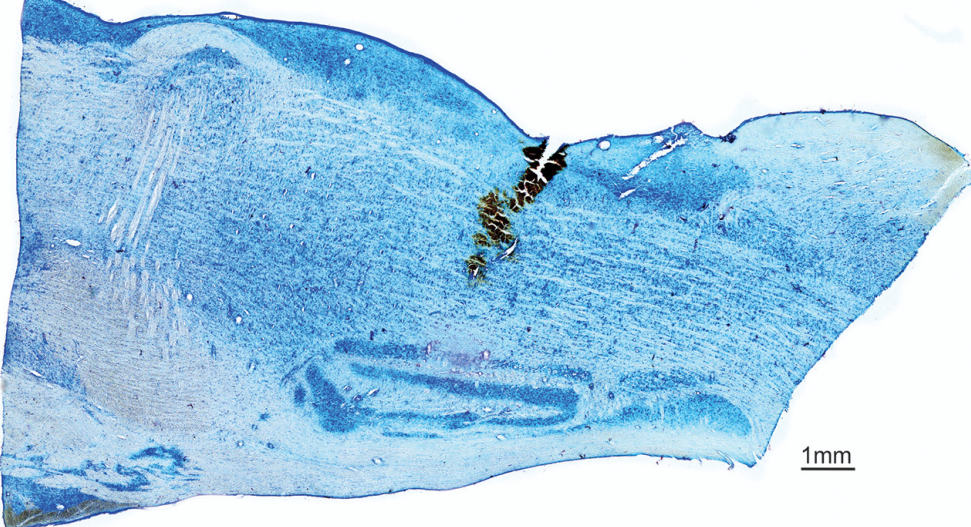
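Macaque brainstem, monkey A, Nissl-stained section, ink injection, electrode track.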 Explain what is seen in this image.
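Individual cells cannot be resolved at this magnification. Pale bundles of fibres run mostly lengthwise through a blue-stained reticular core. Near the ventral side, folded bands stain darker blue. A narrow black streak enters from the dorsal surface and ends in a patchy brown-black deposit within the central reticular region, the nucleus gigantocellularis.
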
